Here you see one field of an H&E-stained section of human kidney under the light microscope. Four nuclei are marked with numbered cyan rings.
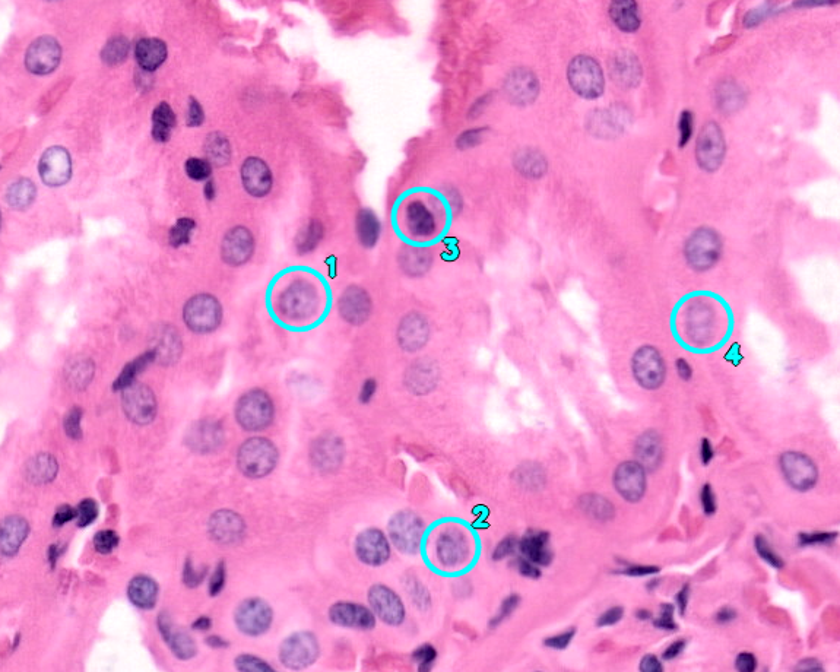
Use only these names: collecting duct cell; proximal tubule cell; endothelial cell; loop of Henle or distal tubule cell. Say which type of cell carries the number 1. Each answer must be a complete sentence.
The cell that is numbered 1 is a proximal tubule cell.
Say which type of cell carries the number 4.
The cell that bears the number 4 is a proximal tubule cell.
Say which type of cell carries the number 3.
It is as a proximal tubule cell that the cell numbered 3 is identified.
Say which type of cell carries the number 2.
Identified by the number 2, the cell is a collecting duct cell.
